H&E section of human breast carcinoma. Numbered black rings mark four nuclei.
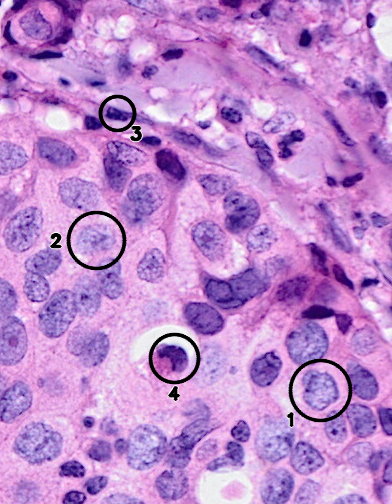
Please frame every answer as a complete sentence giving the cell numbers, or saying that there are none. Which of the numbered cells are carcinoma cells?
The cells with the numbers 1, 2 and 4 are carcinoma cells.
